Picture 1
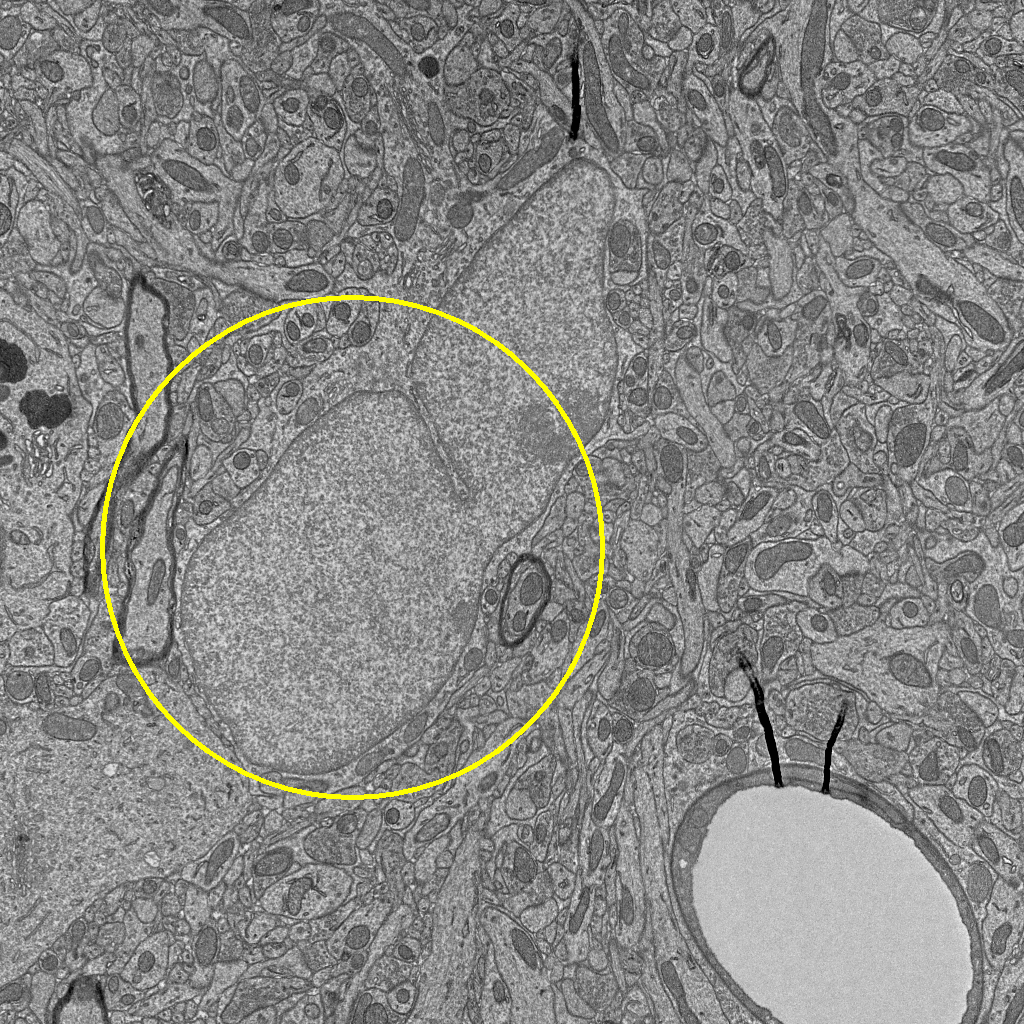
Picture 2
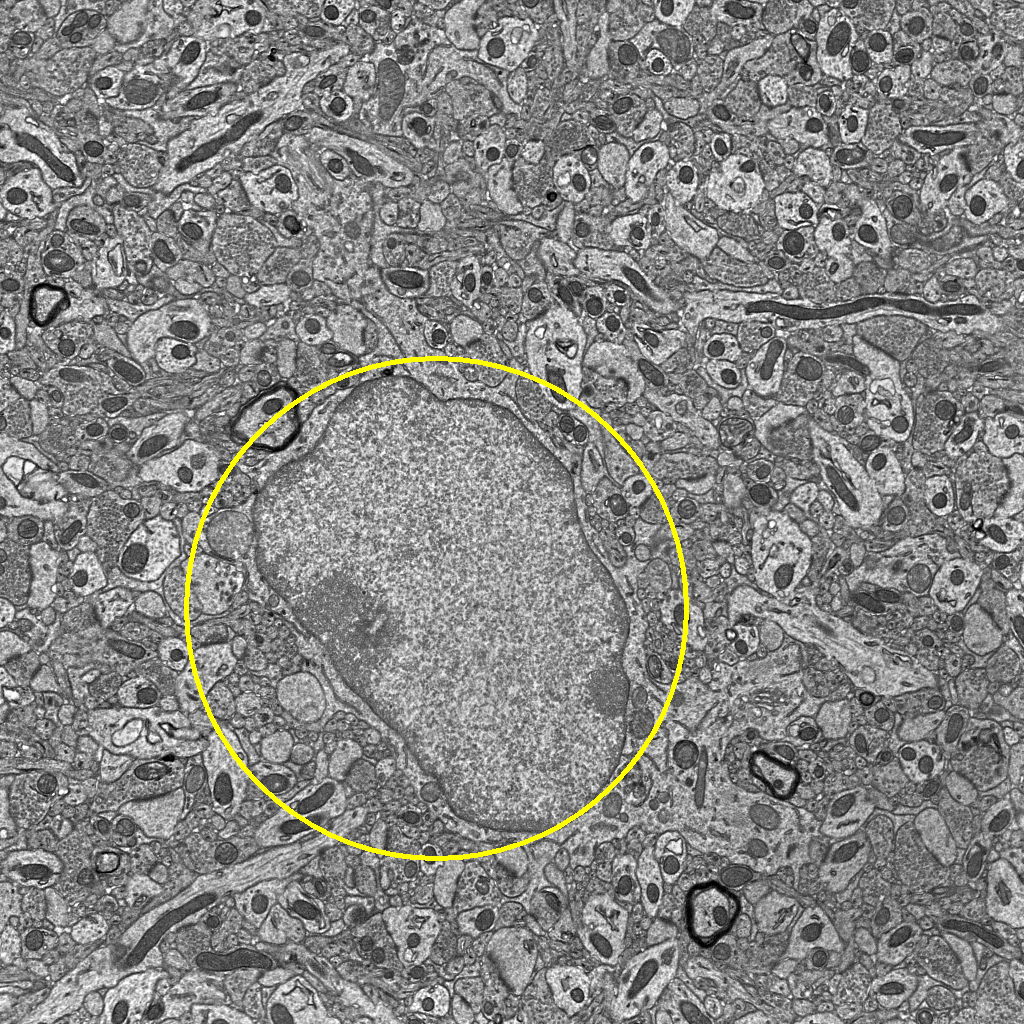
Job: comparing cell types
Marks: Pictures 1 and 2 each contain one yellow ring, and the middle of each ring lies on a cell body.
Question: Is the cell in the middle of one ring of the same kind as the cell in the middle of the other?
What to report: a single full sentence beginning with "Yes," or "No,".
Yes, the cell at the ring centre in Picture 1 and its partner in Picture 2 are of one kind.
